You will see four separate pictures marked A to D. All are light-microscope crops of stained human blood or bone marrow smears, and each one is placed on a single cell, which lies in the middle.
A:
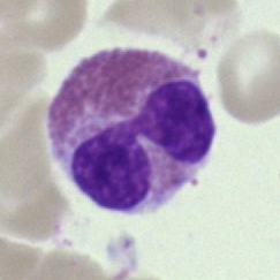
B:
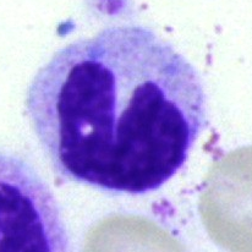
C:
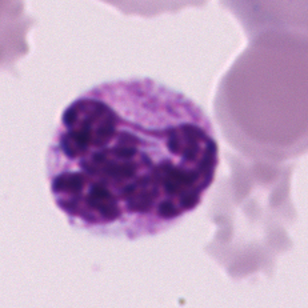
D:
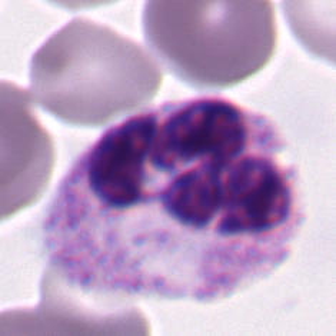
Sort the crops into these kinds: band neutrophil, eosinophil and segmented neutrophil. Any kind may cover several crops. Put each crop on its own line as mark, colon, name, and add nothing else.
A: eosinophil
B: band neutrophil
C: segmented neutrophil
D: segmented neutrophil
